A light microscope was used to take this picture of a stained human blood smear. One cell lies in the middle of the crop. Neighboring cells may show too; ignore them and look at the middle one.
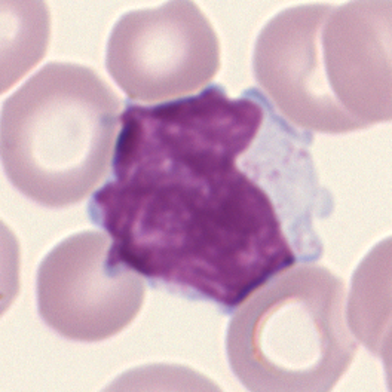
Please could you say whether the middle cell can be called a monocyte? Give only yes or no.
no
